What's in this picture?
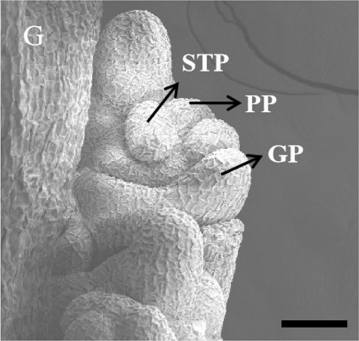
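Beside a long, upright axis covered by elongated surface cells lies a cluster of small rounded outgrowths. The outgrowths are of differing sizes, some bulbous and tightly pressed together, others forming a flap-like rim around them. Their surfaces show a netted pattern of small cells.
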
